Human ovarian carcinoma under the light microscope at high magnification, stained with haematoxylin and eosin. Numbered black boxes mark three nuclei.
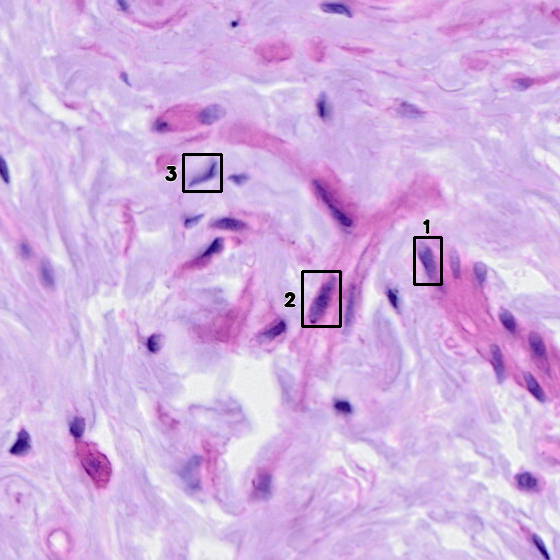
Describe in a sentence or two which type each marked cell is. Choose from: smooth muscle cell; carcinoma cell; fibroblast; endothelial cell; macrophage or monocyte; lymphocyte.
Cell 1 is a smooth muscle cell, cell 2 is a smooth muscle cell and cell 3 is a fibroblast.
